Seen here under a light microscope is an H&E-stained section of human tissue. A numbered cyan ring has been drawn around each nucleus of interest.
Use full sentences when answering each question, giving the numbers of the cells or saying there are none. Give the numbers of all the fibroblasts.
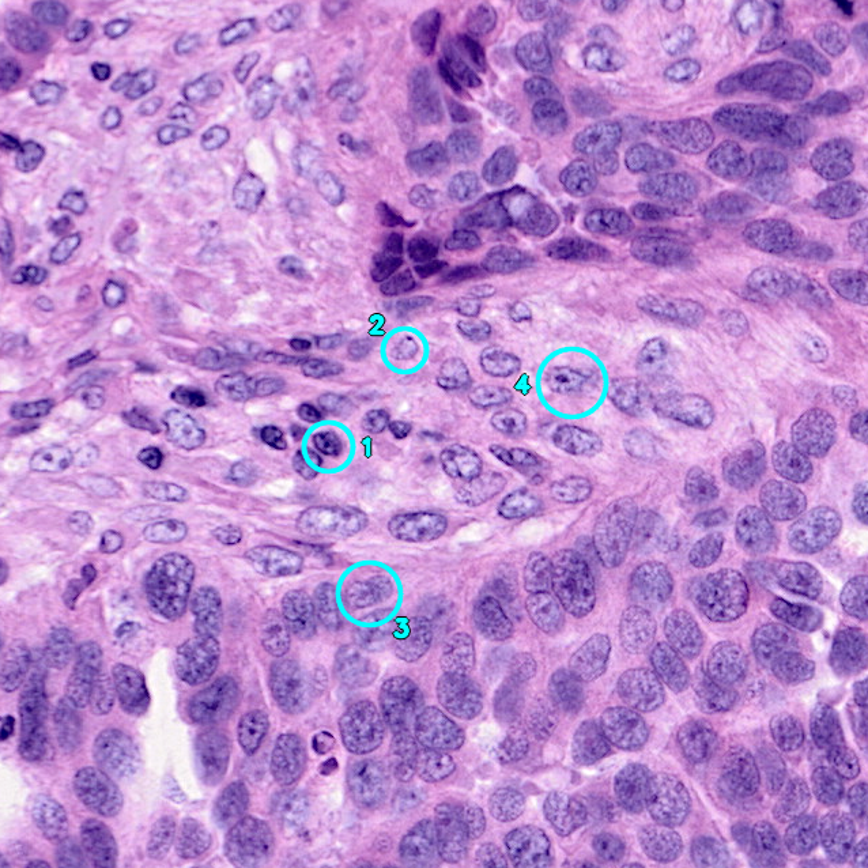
The cells marked by the numbers 2 and 4 are fibroblasts.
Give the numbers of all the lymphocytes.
Of all the numbered cells, only one is a lymphocyte, and that is cell 1.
